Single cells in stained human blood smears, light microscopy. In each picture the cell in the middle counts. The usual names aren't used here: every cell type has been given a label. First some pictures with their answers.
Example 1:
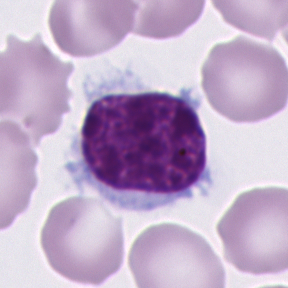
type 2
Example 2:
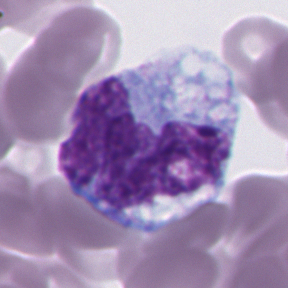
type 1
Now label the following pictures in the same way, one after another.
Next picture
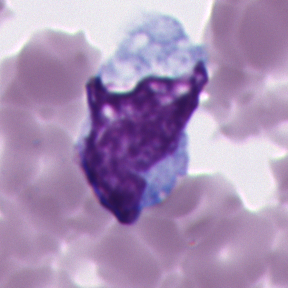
type 1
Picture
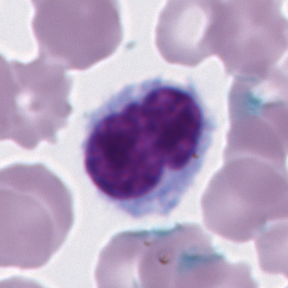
type 2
